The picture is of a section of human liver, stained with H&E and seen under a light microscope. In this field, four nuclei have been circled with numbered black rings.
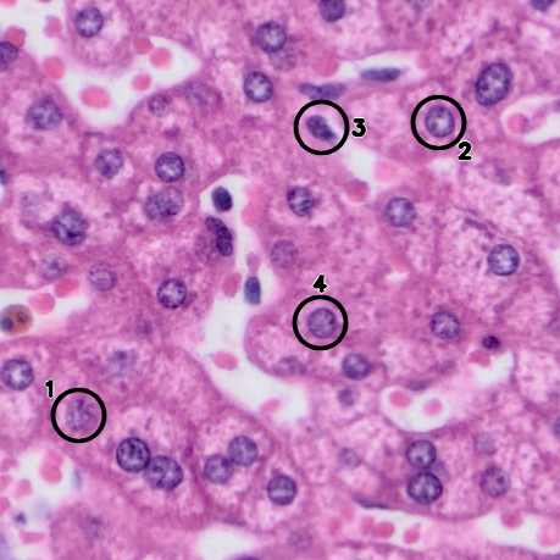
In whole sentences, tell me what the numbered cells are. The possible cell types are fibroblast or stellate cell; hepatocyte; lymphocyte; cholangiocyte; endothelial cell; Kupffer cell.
Cell 1 is a hepatocyte, cell 2 is a hepatocyte, cell 3 is a lymphocyte and cell 4 is a hepatocyte.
